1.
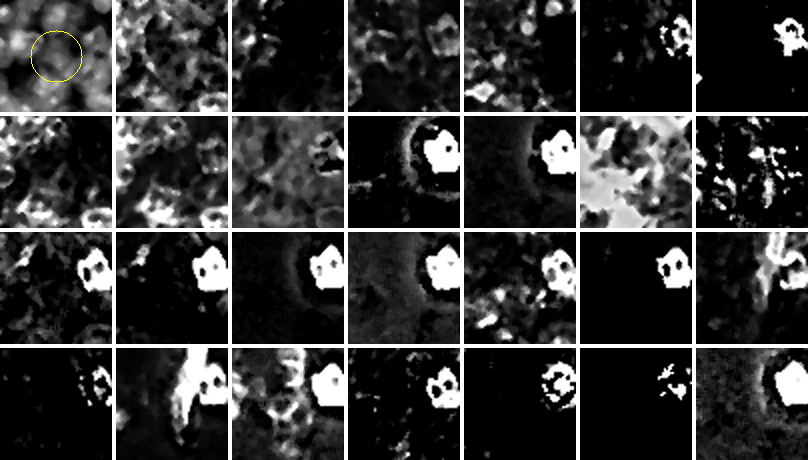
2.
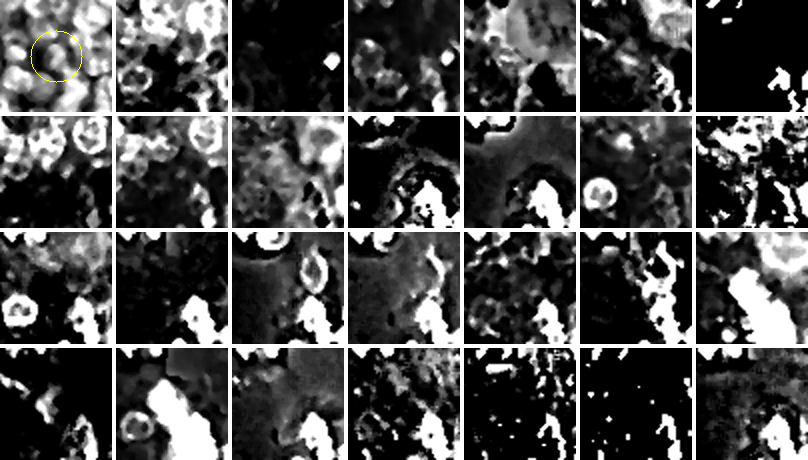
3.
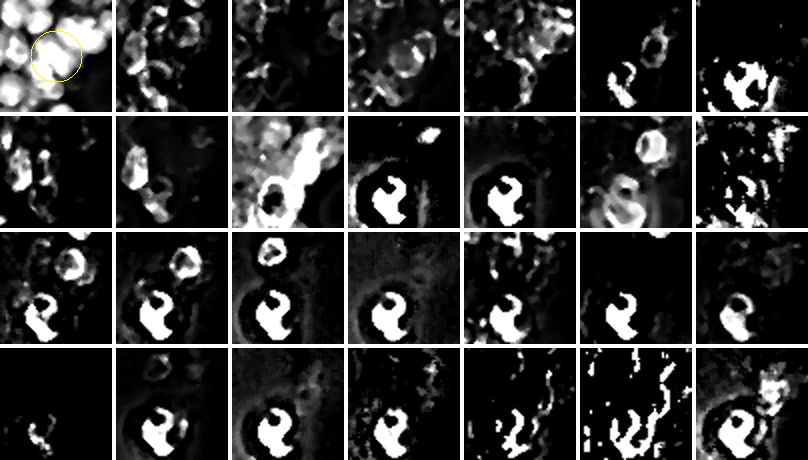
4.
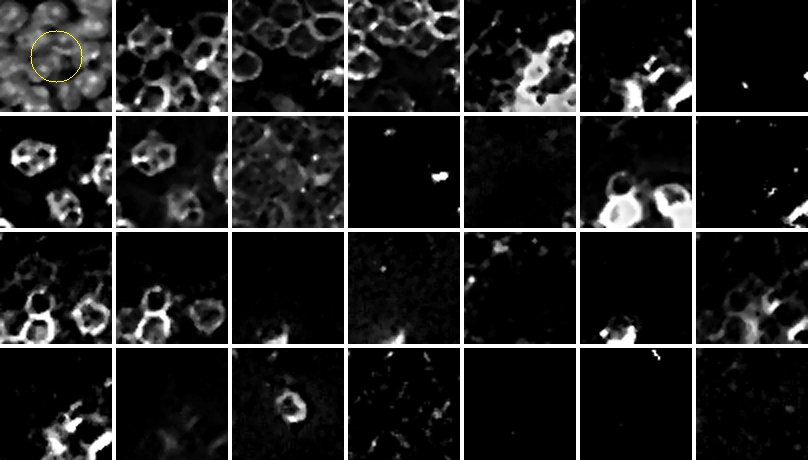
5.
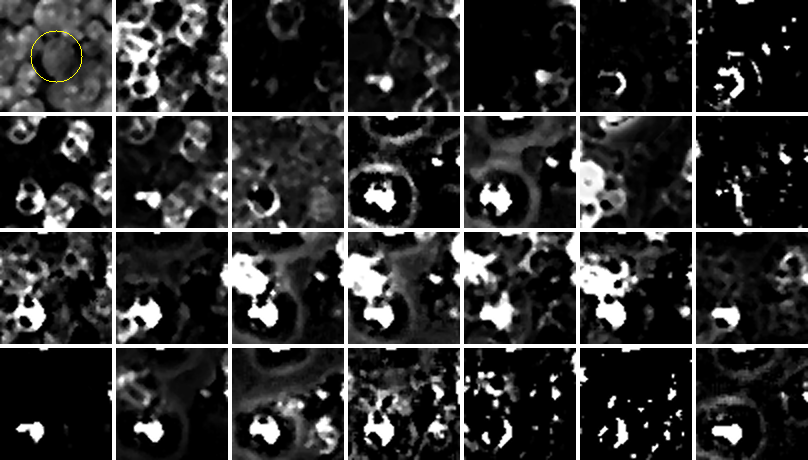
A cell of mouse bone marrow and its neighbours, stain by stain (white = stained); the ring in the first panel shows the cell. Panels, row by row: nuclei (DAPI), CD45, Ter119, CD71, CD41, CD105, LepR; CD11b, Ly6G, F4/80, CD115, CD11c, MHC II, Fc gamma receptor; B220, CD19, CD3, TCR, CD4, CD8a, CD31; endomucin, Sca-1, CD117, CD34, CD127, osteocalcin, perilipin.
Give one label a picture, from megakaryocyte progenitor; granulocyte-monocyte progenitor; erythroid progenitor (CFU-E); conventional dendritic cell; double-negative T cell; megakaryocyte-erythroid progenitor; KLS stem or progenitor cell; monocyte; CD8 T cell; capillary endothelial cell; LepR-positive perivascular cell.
(1) KLS stem or progenitor cell
(2) megakaryocyte progenitor
(3) LepR-positive perivascular cell
(4) megakaryocyte-erythroid progenitor
(5) megakaryocyte-erythroid progenitor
